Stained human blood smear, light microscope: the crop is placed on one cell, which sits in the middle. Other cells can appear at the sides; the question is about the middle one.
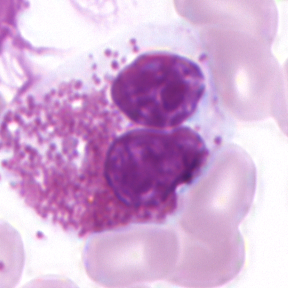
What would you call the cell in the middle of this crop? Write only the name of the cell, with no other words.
eosinophil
